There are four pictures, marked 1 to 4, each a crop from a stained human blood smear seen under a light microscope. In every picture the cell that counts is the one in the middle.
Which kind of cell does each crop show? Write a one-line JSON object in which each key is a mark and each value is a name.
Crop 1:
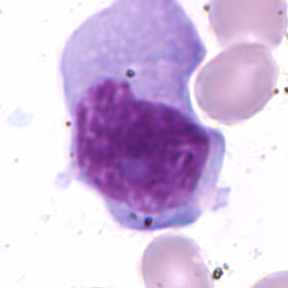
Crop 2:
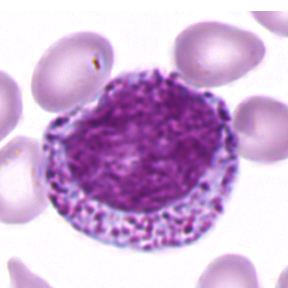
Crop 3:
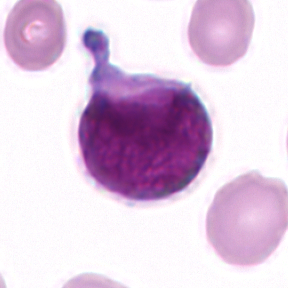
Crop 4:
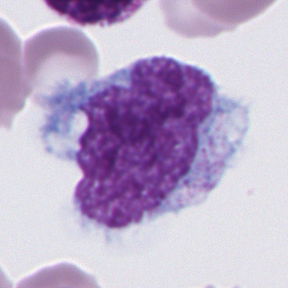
{"1": "plasma cell", "2": "myelocyte", "3": "atypical promyelocyte", "4": "monocyte"}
